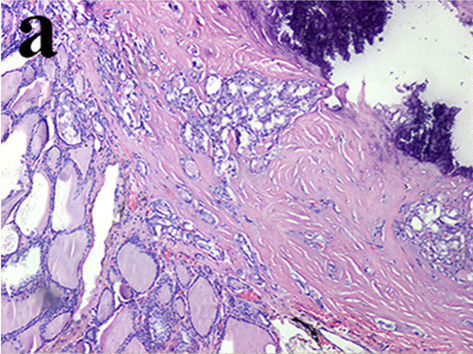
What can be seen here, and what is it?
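This is thyroid tissue in which normal-looking follicles sit beside a carcinoma. On the left, round follicles of varied size are filled with homogeneous pink colloid and lined by a single flat-to-cuboidal layer of cells. Across the middle runs a broad band of dense pink, wavy fibrous stroma. Within and along this stroma lie small nests and glandular clusters of epithelial cells with crowded nuclei and pale, vacuolated-looking spaces. At the upper right a dark purple granular deposit borders an empty space.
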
